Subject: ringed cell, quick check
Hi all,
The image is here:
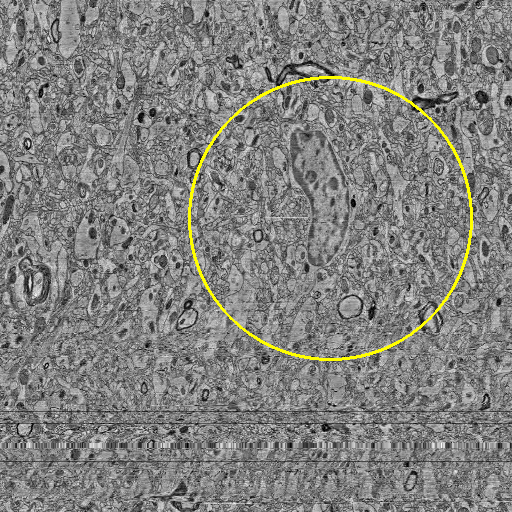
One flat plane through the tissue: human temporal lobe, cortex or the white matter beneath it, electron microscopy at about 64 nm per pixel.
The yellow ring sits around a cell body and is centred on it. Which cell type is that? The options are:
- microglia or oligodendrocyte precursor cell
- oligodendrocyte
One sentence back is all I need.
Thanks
That ringed cell is a microglial cell or oligodendrocyte precursor cell.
